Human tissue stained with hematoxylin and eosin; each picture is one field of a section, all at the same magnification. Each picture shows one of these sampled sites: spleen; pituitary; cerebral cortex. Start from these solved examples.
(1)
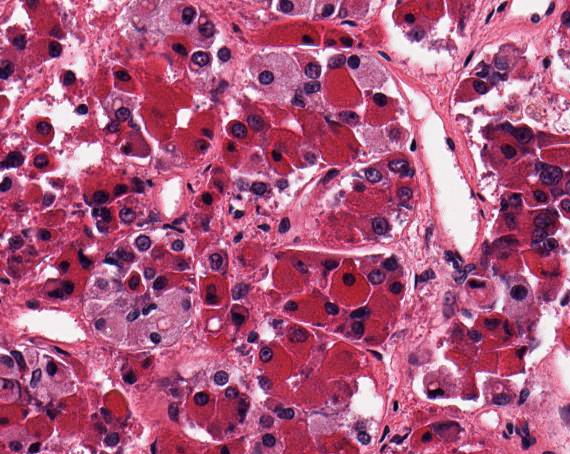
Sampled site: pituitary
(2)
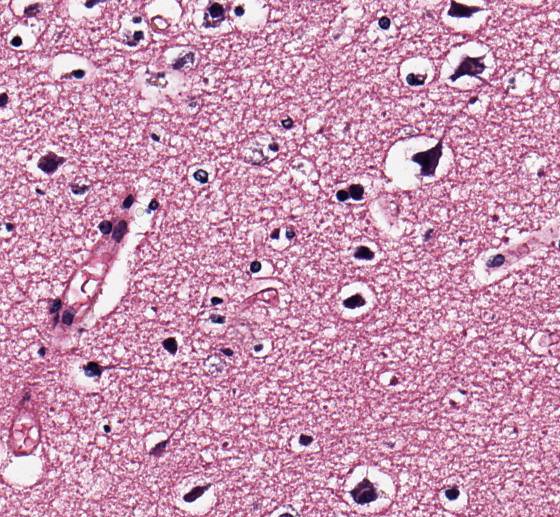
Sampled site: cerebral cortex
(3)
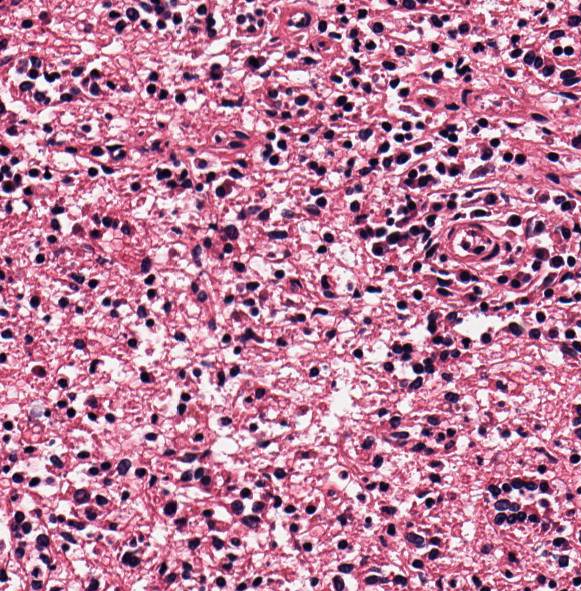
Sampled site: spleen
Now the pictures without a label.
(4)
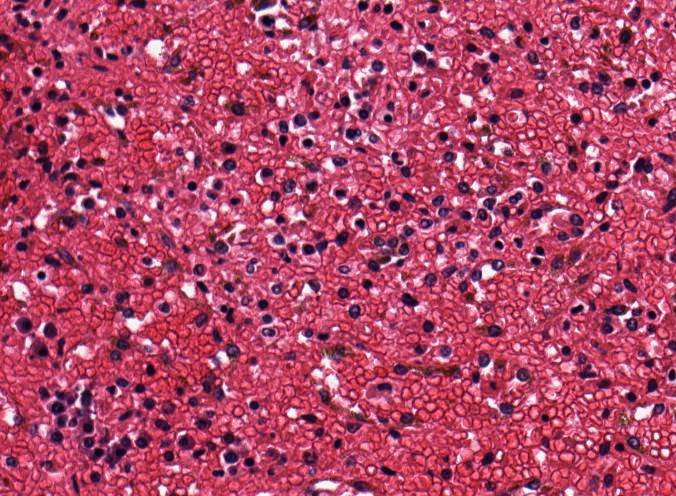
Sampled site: spleen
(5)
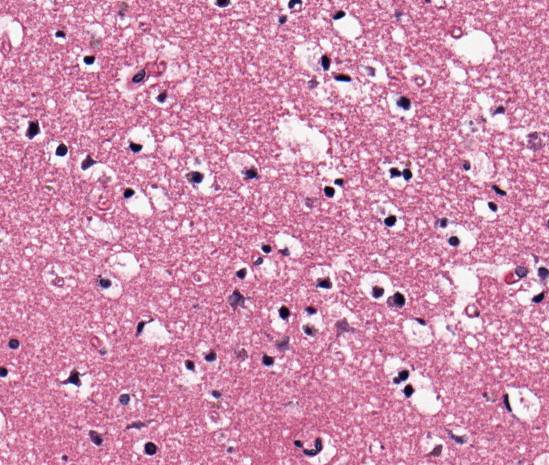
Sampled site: cerebral cortex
